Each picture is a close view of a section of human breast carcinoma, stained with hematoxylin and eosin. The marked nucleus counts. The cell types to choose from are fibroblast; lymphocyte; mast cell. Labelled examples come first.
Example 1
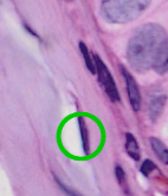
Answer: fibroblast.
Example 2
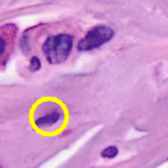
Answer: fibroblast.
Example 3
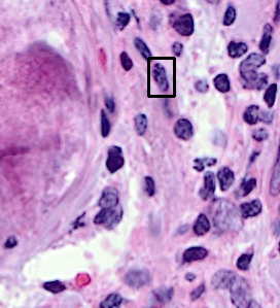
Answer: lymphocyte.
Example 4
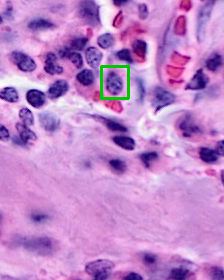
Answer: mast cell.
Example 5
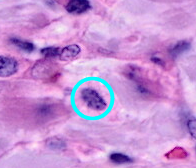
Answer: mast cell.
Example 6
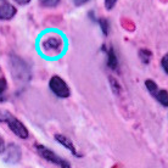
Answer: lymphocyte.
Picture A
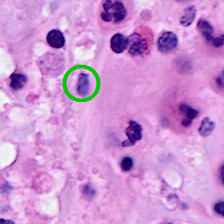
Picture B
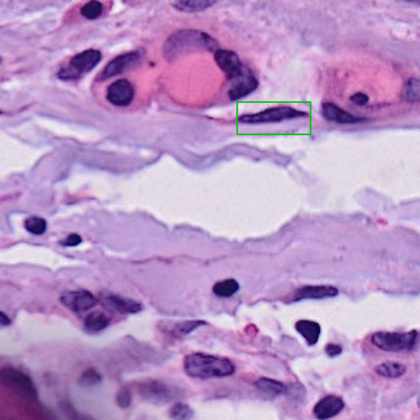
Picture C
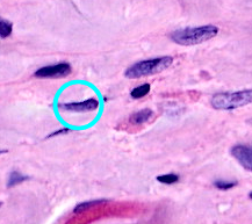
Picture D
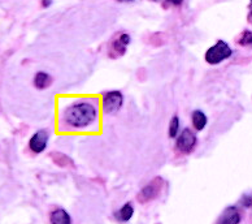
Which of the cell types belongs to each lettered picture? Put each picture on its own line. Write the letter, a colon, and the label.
A: lymphocyte.
B: fibroblast.
C: fibroblast.
D: mast cell.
